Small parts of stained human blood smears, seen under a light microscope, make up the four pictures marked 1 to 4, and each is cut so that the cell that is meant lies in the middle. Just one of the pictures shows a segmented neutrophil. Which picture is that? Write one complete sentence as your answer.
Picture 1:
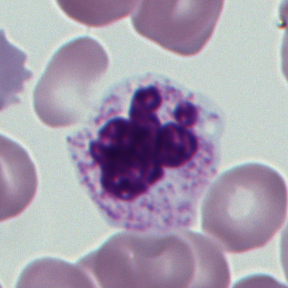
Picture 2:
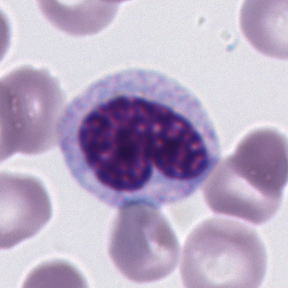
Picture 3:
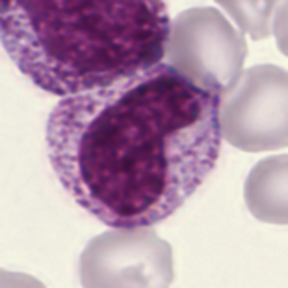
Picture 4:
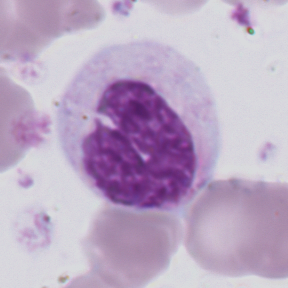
The segmented neutrophil is the one in picture 1.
